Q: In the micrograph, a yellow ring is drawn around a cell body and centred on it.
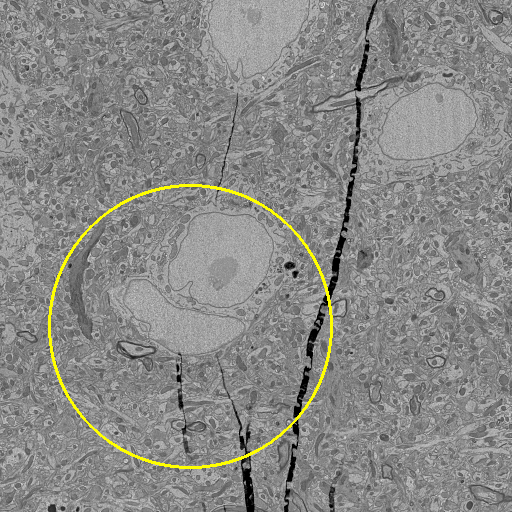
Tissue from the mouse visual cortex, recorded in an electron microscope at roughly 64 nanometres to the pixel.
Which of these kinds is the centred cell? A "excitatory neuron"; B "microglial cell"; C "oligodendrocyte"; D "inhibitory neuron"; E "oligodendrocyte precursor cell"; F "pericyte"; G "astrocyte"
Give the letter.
E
